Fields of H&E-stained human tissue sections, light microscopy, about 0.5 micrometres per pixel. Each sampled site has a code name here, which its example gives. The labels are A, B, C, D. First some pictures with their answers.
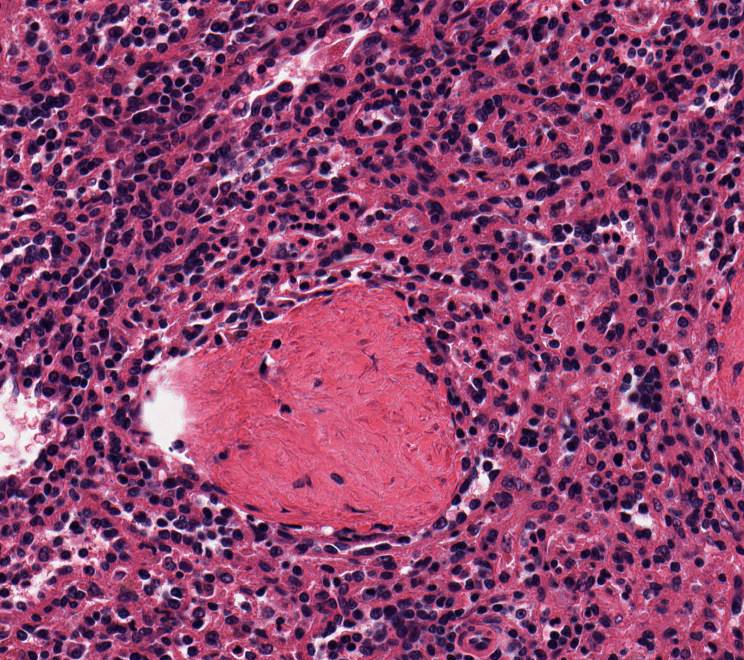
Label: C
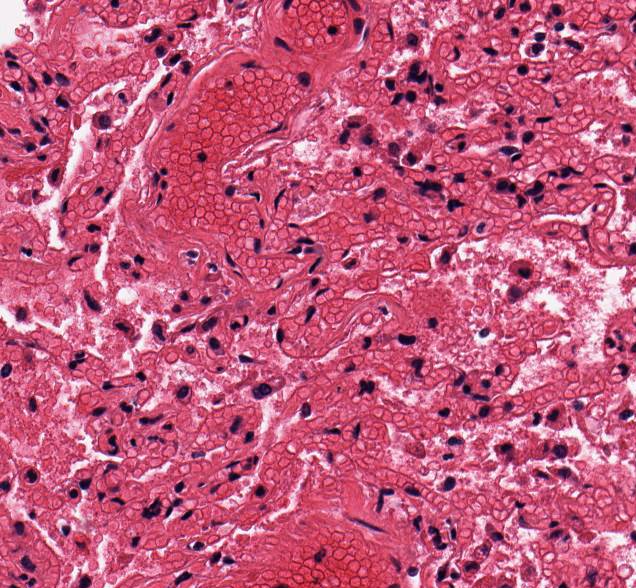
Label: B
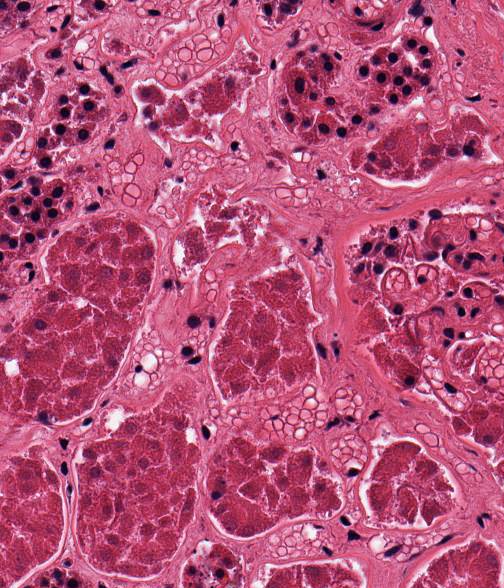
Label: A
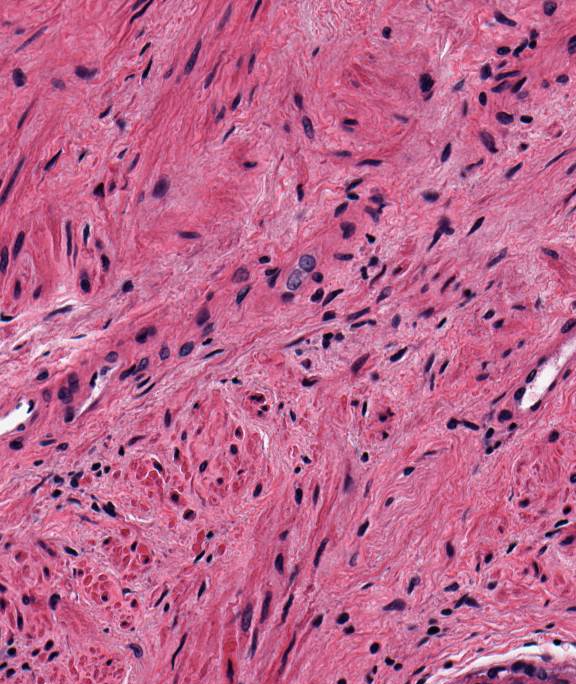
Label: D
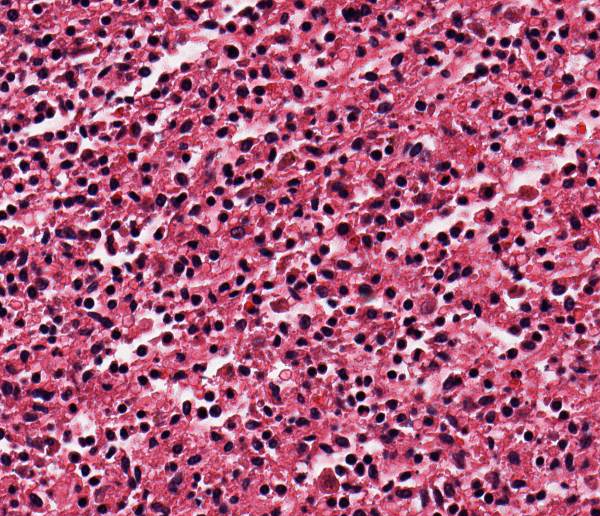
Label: C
